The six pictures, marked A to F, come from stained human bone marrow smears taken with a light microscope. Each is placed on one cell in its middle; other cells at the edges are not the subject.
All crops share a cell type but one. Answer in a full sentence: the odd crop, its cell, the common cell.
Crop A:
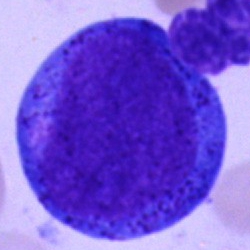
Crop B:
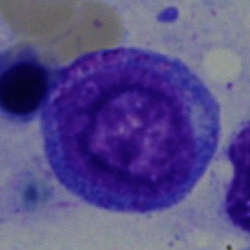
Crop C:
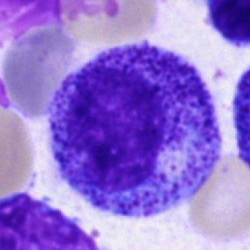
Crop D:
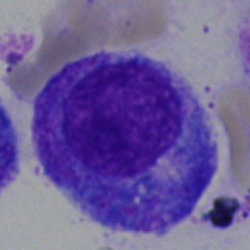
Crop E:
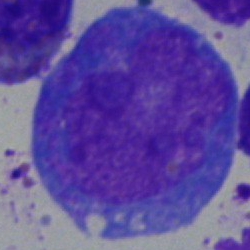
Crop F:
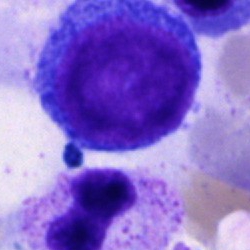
Crop F shows a proerythroblast; by contrast, all the other crops show promyelocytes.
